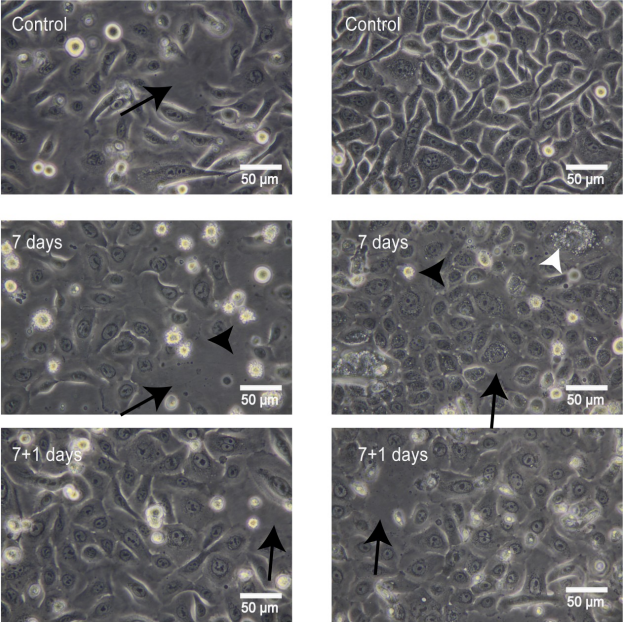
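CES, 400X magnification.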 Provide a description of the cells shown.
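These are living cultured cells growing as a single flat sheet, viewed without stain, so edges and nuclei stand out only as differences in brightness. In the upper images the cells are flattened and polygonal to spindle-shaped, each with an oval nucleus, and in the denser culture they pack closely edge to edge. In the lower images many small rounded cells with a bright halo sit among the flat ones; these are detaching or dying cells. Here and there smooth, cell-free areas open up between the cells, marking gaps in the layer. One cell in the denser culture is filled with many small bright round vacuoles, giving it a foamy look.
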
